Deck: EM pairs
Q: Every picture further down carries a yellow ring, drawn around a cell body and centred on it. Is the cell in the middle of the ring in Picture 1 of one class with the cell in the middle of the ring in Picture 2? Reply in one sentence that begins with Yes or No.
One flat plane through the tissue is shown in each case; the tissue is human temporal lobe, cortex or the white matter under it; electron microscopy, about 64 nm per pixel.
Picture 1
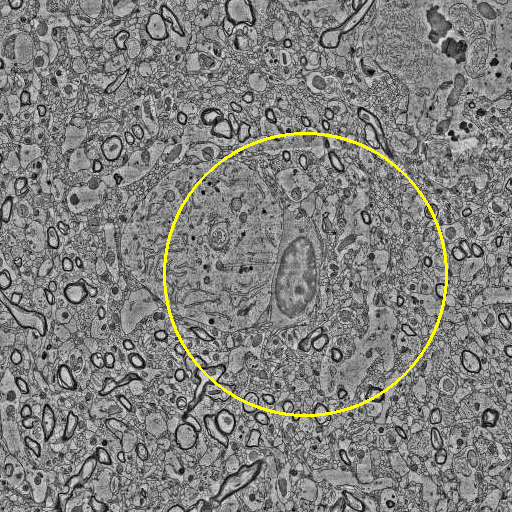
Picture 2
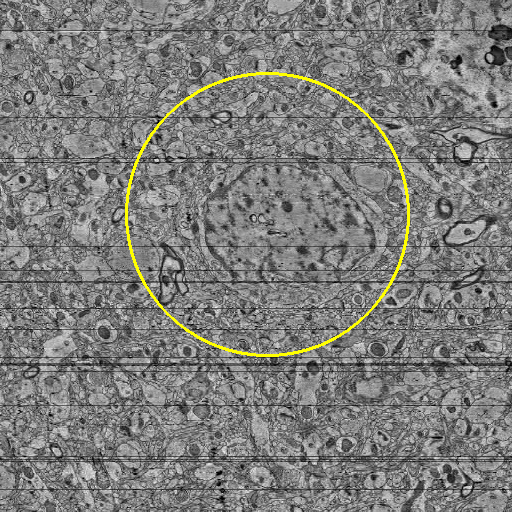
No, the cell centred in the ring of Picture 1 and the one in Picture 2 belong to separate classes.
